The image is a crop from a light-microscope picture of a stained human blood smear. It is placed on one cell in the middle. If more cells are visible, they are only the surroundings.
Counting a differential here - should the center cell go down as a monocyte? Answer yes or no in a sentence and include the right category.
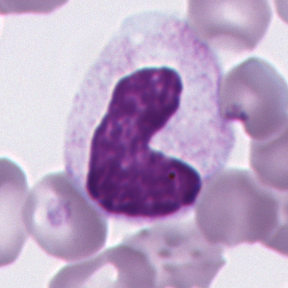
No, the middle cell is classified as a band neutrophil instead of a monocyte.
